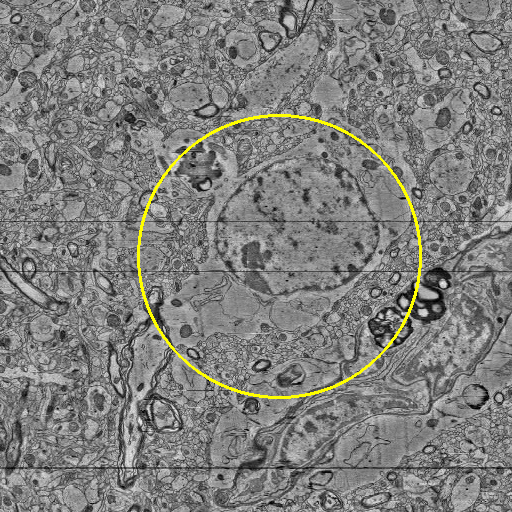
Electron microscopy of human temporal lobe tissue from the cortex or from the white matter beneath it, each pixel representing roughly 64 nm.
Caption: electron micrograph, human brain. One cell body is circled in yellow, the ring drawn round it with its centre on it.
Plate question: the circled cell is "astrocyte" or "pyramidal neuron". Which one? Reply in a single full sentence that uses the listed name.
The yellow ring on the plate is centred on an astrocyte, going by the listed names.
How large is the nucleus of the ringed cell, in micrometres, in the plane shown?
In this plane the nucleus is about 10 micrometres across.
